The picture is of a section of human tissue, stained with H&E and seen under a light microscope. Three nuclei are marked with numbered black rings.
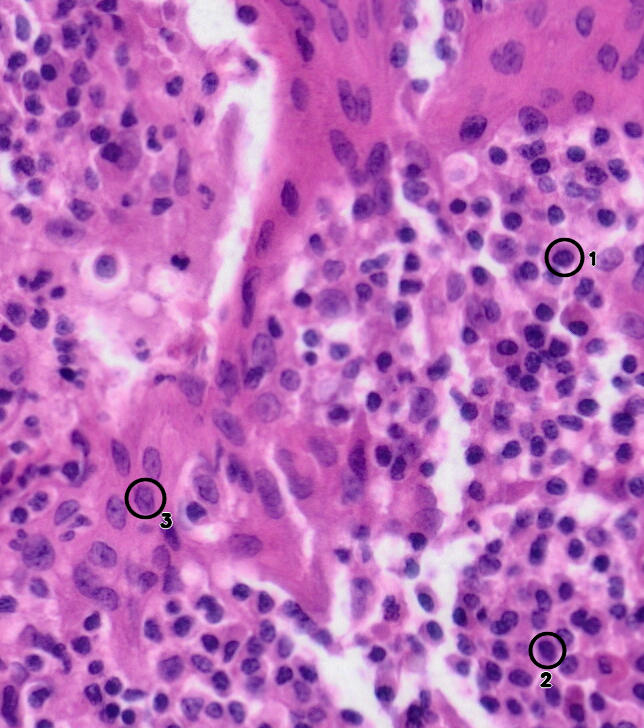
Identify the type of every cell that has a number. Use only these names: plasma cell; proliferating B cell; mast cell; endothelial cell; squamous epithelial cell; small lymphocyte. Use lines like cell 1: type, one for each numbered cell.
cell 1: plasma cell
cell 2: plasma cell
cell 3: squamous epithelial cell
